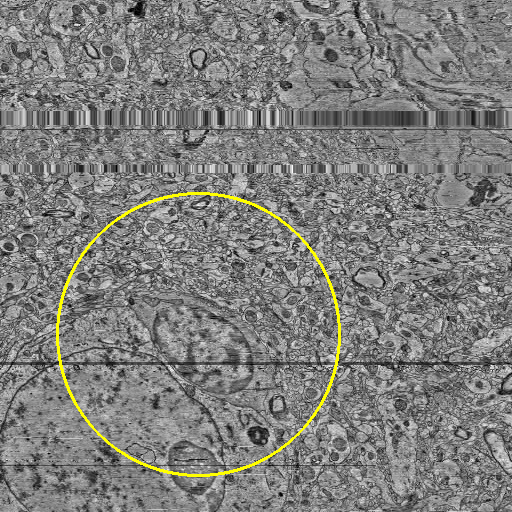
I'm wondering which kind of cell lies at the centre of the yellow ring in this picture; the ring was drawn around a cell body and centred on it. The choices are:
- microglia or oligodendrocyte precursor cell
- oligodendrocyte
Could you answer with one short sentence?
At the centre of the ring lies an oligodendrocyte.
